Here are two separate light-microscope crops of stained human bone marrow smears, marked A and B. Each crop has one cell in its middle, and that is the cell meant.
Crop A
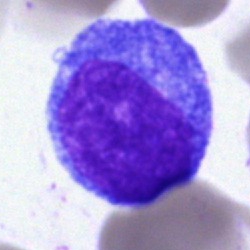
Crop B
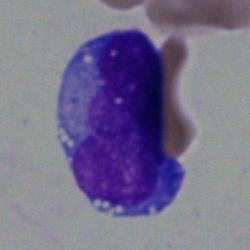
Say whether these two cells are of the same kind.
no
